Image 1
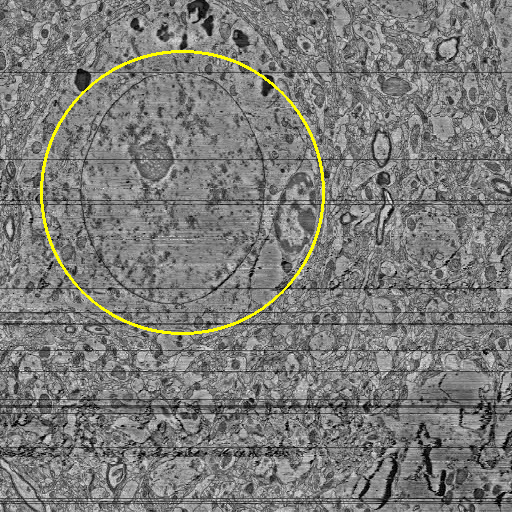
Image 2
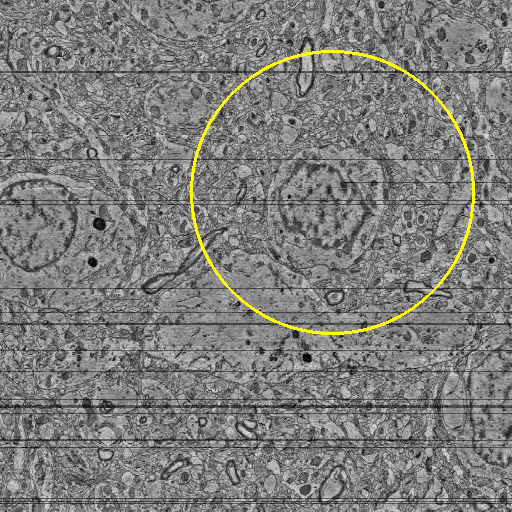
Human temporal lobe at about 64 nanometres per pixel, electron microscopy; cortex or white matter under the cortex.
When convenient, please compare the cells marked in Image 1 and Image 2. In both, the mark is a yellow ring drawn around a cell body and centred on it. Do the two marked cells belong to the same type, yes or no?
no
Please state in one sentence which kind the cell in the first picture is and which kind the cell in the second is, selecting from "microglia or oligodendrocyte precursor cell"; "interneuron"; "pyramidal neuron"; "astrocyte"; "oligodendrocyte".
The first ringed cell is a pyramidal neuron, the second ringed cell an interneuron.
